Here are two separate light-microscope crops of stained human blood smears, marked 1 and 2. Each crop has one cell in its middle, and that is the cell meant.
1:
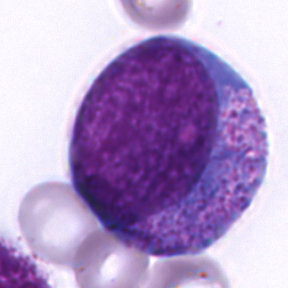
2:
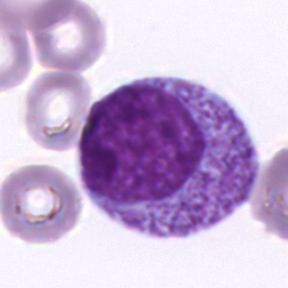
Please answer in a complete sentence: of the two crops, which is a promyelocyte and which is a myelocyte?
Crop 1 features a promyelocyte, while crop 2 features a myelocyte.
